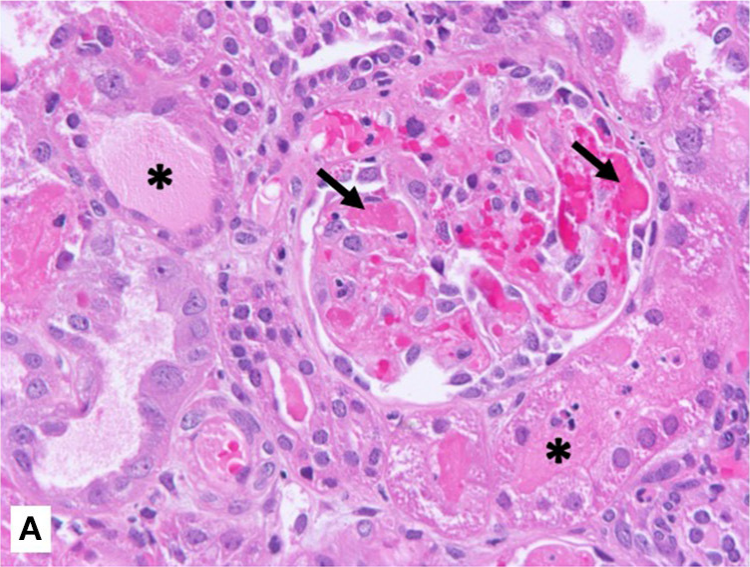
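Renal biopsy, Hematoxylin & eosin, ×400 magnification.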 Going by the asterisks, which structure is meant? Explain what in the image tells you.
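The upper asterisk lies on homogeneous pale pink material filling a tubule lumen. The material is lined by a rim of tubular epithelial cells. On this evidence: casts.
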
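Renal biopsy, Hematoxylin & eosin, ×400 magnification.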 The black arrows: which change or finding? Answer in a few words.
Fibrin microthrombi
